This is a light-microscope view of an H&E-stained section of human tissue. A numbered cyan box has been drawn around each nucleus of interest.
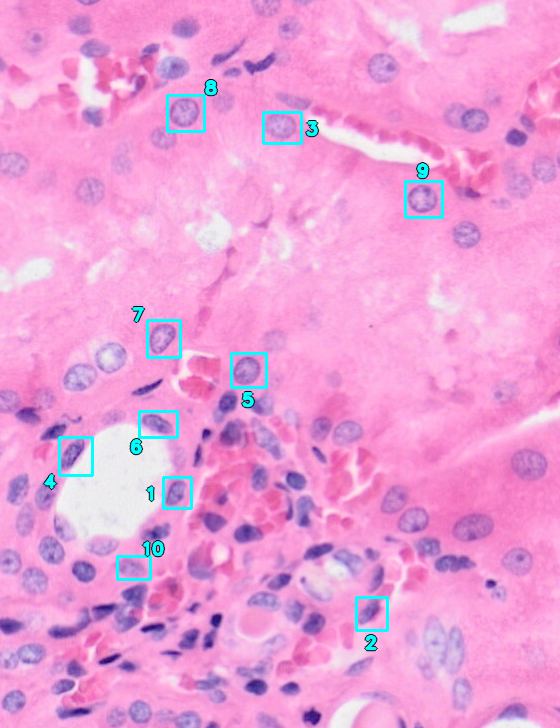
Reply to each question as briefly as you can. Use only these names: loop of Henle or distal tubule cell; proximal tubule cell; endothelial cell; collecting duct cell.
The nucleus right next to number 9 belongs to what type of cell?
endothelial cell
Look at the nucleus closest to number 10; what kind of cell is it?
endothelial cell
